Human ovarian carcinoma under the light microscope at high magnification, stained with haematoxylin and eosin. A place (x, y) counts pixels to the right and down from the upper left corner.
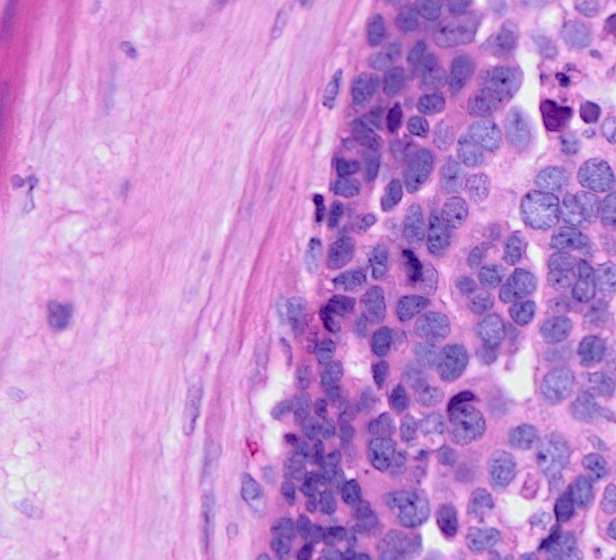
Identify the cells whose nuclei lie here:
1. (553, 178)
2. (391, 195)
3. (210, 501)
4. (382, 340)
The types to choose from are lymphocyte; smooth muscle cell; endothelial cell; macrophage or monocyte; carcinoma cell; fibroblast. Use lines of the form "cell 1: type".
cell 1: carcinoma cell
cell 2: carcinoma cell
cell 3: fibroblast
cell 4: carcinoma cell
